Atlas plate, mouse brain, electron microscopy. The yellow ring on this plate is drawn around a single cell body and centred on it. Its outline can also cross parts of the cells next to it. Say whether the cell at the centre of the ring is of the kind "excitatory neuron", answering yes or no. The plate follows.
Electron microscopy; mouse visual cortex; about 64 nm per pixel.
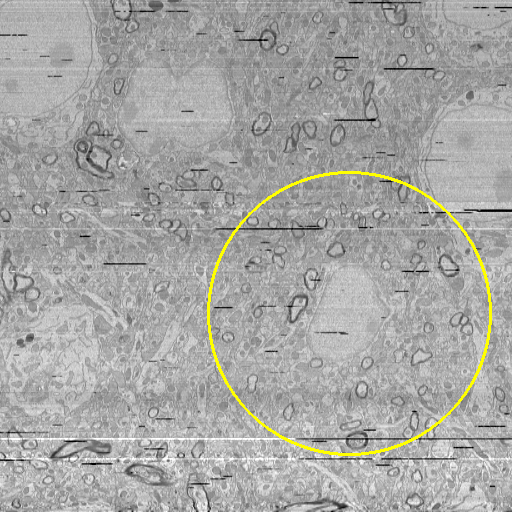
No, the cell is of another kind.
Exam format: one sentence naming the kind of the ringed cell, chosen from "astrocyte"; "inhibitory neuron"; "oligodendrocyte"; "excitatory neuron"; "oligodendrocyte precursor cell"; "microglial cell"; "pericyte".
Instead, the cell at the centre of the ring is an astrocyte.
